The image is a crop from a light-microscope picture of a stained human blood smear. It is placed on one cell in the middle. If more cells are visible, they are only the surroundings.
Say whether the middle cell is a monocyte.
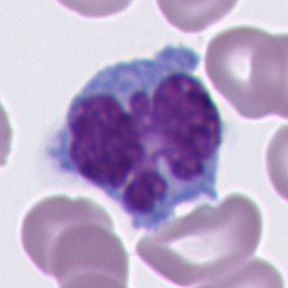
yes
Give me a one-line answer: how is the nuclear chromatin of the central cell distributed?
If you check the nucleus, you will find the chromatin coarsely clumped.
